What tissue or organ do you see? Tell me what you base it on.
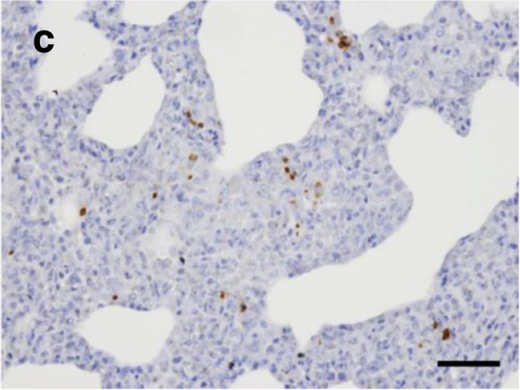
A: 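Lung. Septa are lined and filled by small cells with blue nuclei.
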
